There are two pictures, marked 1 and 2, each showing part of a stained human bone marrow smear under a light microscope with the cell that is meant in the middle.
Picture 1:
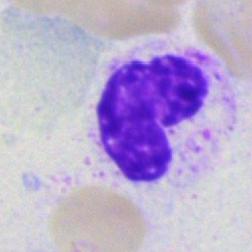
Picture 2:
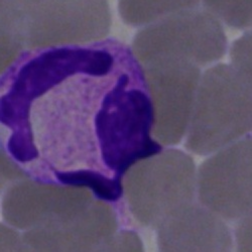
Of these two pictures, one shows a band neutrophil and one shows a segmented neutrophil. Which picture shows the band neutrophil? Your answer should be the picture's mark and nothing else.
1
